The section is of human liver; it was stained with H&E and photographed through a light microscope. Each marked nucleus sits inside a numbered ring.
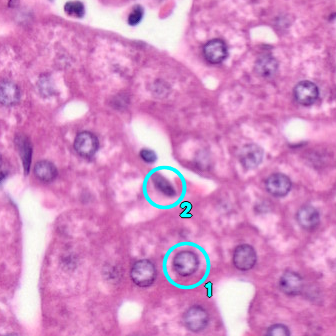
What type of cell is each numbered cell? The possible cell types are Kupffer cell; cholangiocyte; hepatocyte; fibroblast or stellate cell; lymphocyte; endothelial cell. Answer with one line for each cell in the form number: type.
1: hepatocyte
2: Kupffer cell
